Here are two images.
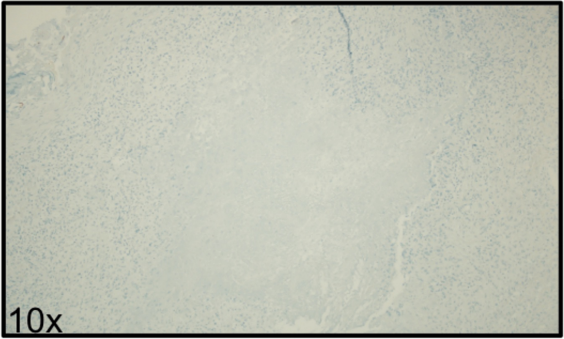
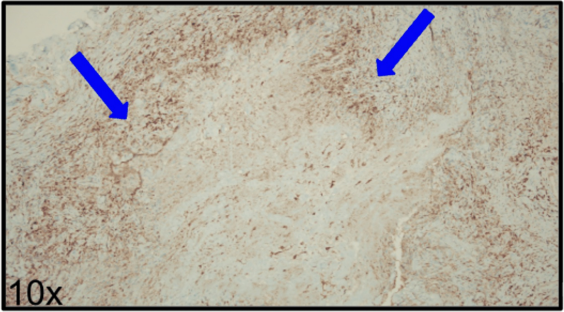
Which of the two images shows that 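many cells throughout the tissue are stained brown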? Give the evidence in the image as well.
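First image: the tissue shows only pale blue counterstained nuclei with no brown cells. Second image: numerous brown-stained cells are scattered and banded across the field. The answer: the second image.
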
